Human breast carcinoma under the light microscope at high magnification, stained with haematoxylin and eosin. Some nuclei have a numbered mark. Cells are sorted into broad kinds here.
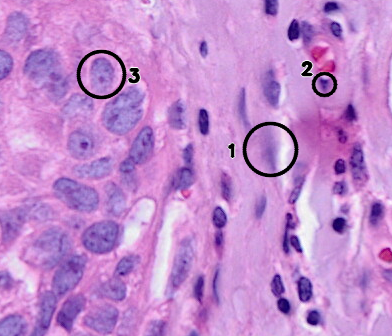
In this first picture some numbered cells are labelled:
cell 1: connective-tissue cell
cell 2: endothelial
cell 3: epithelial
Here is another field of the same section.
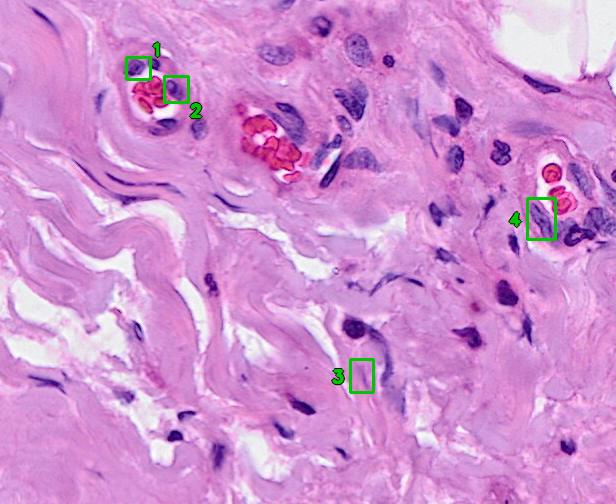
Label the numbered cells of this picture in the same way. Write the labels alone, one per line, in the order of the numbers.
endothelial
endothelial
connective-tissue cell
endothelial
